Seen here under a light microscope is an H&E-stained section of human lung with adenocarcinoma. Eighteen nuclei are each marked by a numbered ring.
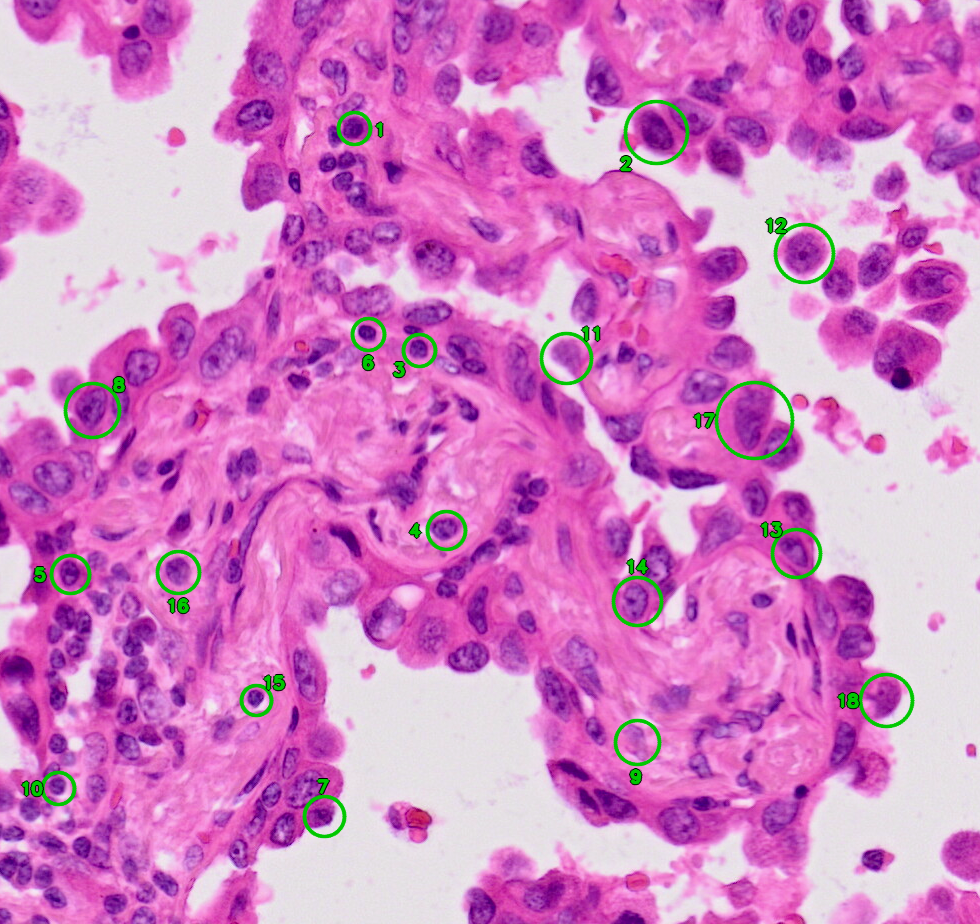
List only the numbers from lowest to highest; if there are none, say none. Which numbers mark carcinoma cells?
2, 7, 8, 11, 12, 13, 14, 17, 18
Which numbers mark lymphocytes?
3, 6, 10, 15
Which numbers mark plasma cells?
1, 4, 5, 16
